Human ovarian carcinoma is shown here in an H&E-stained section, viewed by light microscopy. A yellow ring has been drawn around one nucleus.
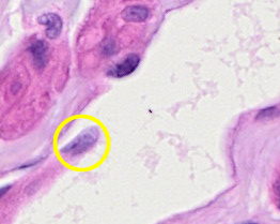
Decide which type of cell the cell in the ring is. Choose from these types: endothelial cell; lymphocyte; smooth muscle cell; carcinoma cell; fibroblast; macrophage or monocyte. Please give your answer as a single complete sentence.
The identity of the cell in the ring is that of an endothelial cell.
